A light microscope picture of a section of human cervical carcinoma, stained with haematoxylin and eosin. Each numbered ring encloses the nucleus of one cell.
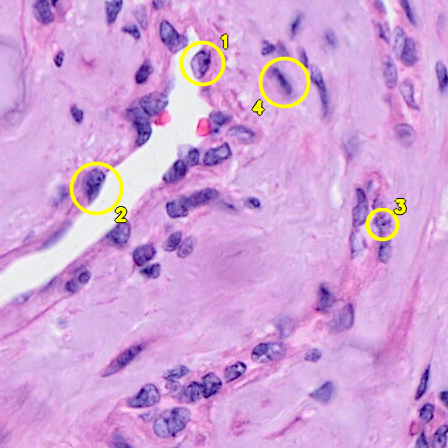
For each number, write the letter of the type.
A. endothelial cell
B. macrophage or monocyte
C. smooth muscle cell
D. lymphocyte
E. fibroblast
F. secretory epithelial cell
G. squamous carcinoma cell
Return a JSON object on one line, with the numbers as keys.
{"1": "A", "2": "A", "3": "A", "4": "E"}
